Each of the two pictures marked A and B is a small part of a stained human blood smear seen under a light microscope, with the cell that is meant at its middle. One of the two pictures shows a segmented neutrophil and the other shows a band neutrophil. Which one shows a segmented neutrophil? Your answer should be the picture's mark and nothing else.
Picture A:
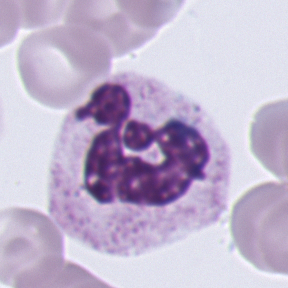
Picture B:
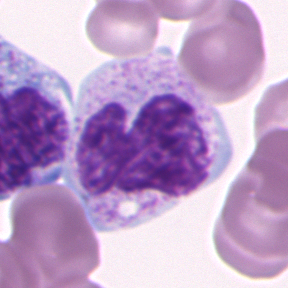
A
